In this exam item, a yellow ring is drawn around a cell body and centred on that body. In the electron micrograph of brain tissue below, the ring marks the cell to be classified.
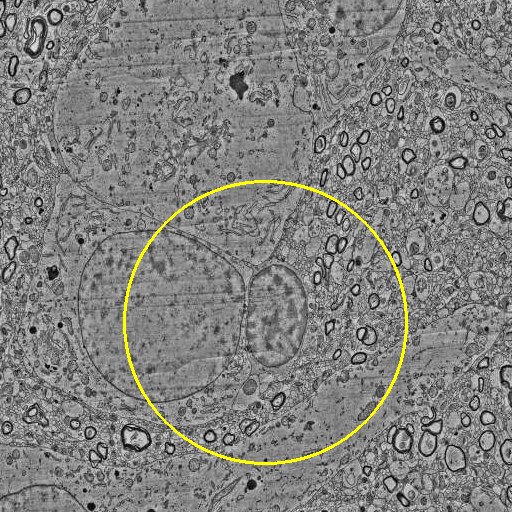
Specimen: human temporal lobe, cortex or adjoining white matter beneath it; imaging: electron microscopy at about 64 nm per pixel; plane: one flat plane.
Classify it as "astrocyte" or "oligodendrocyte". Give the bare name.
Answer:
oligodendrocyte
